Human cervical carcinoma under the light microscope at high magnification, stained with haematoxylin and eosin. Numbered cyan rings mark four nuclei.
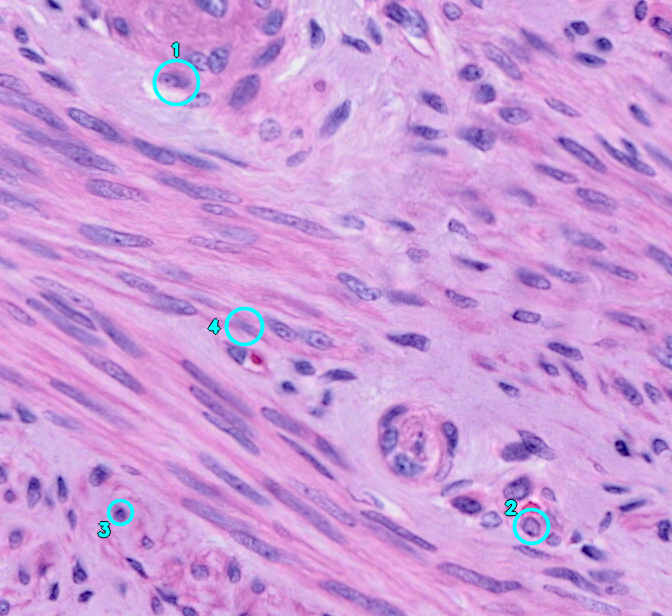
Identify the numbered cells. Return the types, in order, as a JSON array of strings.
["smooth muscle cell", "endothelial cell", "smooth muscle cell", "smooth muscle cell"]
